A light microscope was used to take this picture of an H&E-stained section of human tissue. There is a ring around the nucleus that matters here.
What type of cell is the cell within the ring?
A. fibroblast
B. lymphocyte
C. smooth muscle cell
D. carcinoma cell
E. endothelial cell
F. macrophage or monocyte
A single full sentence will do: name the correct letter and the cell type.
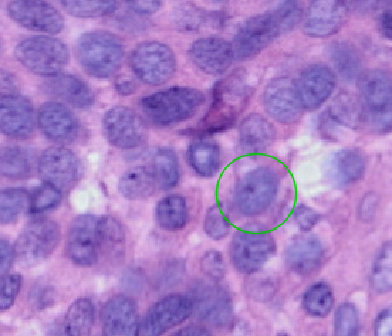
Under option D, the cell within the ring is listed as a carcinoma cell, which is correct.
